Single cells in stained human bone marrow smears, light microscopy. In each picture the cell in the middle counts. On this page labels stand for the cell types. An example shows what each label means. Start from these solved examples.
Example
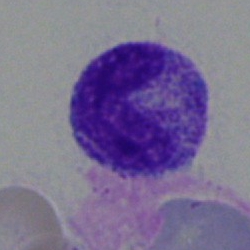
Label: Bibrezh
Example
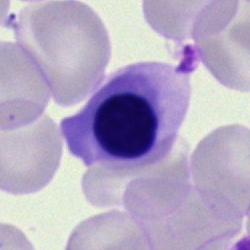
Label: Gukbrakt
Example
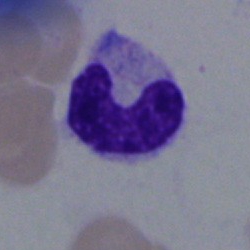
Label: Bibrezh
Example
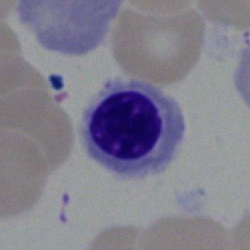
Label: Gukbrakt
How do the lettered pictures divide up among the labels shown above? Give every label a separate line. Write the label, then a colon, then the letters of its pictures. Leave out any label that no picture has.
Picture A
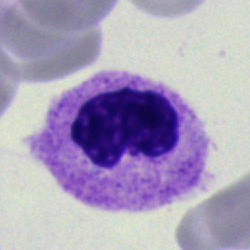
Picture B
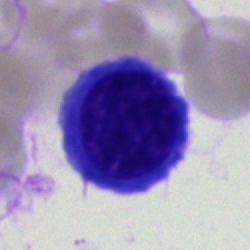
Bibrezh: A
Gukbrakt: B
